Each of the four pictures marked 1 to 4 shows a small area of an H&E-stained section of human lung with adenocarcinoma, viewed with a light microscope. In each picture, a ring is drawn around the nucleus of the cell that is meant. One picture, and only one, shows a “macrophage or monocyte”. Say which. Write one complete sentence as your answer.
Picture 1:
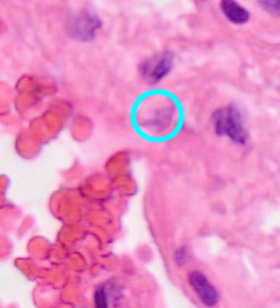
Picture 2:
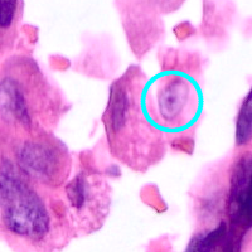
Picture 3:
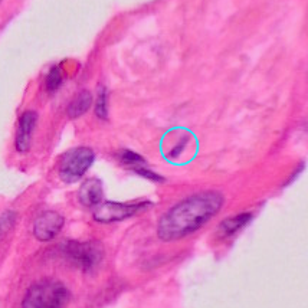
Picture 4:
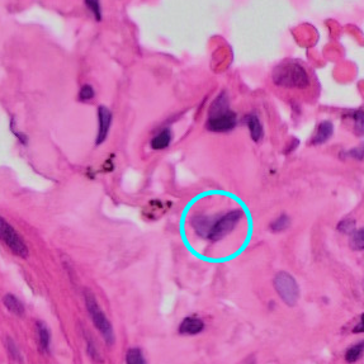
The cell in picture 2 is the “macrophage or monocyte”.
